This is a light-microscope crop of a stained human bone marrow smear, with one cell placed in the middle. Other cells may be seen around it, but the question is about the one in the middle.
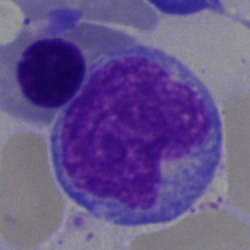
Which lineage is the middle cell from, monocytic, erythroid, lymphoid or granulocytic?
monocytic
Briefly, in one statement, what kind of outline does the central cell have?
In short, the margin is smooth with no projections at all.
